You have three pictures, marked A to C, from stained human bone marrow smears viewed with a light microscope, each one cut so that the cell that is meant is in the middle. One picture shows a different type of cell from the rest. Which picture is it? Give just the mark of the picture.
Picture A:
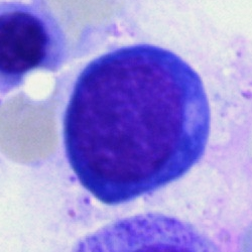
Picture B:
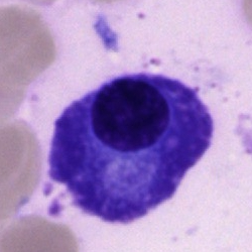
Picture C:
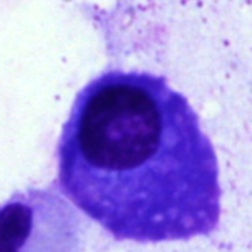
A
